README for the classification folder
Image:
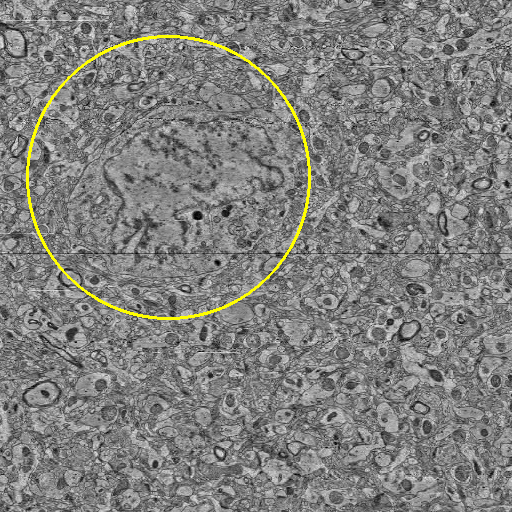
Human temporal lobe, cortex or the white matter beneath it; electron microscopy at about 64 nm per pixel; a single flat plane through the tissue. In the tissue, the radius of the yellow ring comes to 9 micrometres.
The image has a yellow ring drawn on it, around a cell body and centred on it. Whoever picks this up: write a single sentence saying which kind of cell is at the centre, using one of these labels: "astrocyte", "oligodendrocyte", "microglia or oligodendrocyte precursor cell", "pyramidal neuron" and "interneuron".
This cell body is that of an interneuron.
